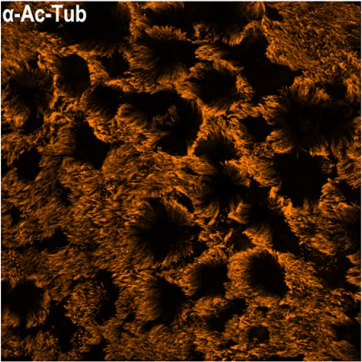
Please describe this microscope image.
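Scattered among them are dark, roughly round gaps without filaments, where the cells carry no cilia. The tufts of neighbouring cells merge into an almost continuous carpet.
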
